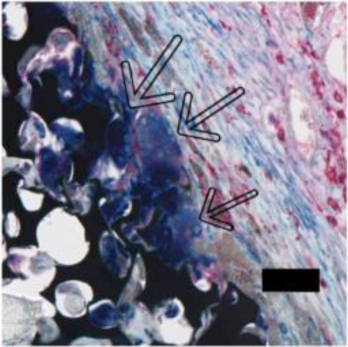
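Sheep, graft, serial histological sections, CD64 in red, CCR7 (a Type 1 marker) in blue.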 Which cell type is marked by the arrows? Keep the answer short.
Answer: Foreign body giant cells.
